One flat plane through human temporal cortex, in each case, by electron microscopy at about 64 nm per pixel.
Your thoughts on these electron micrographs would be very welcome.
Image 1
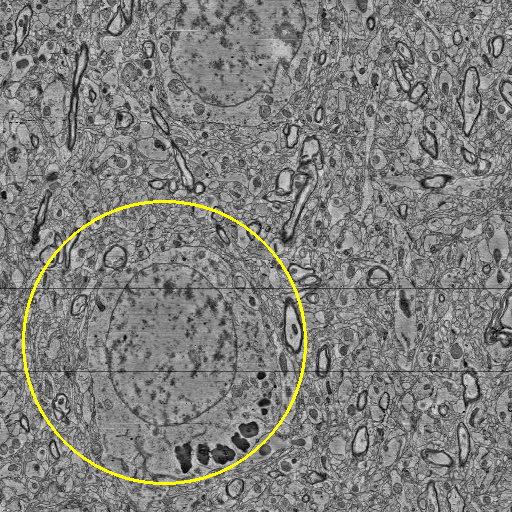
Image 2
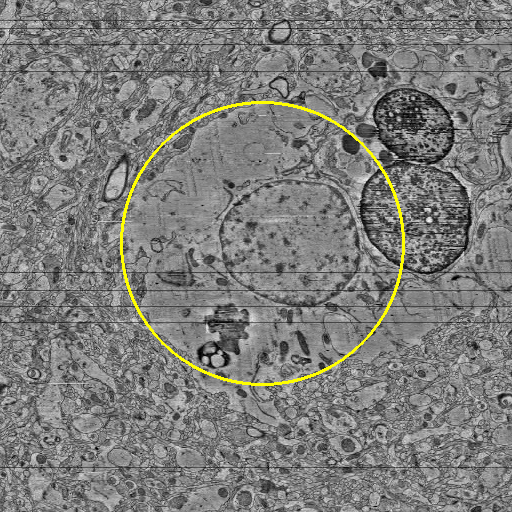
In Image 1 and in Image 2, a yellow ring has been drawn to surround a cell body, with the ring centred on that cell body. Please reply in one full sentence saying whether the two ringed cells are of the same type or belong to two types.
The ringed cells in Image 1 and Image 2 belong to two types.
